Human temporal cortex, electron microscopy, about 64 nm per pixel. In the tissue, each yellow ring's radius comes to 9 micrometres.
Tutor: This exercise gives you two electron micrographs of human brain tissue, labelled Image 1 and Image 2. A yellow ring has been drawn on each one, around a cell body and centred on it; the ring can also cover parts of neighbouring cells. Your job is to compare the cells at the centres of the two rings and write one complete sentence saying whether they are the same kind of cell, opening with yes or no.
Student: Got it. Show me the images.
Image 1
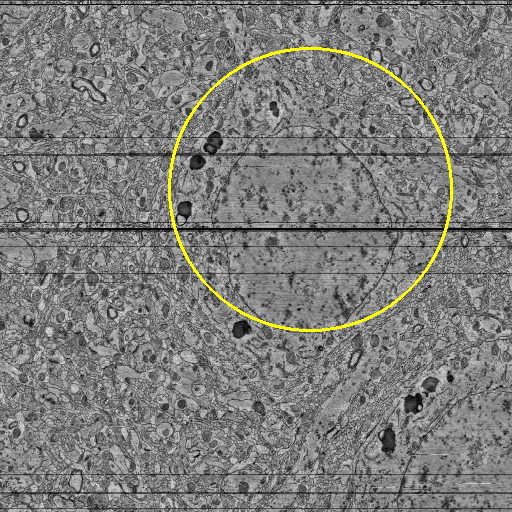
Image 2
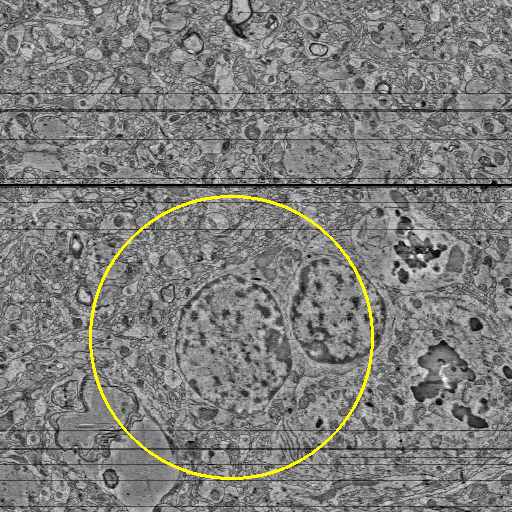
No, the two cells belong to two kinds.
